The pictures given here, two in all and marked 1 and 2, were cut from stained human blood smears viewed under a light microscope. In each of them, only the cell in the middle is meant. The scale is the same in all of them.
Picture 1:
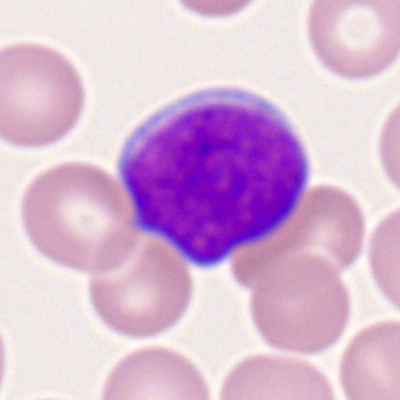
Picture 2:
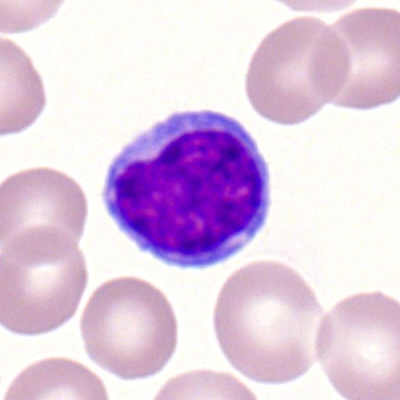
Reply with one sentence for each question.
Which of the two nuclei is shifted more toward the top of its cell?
In picture 1 the nucleus is shifted more toward the top.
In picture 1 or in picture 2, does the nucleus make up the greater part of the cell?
It is the cell in picture 2 that is filled more by its nucleus.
